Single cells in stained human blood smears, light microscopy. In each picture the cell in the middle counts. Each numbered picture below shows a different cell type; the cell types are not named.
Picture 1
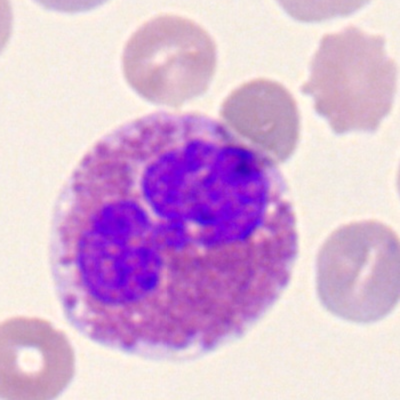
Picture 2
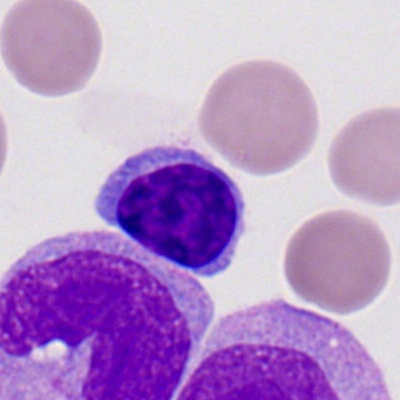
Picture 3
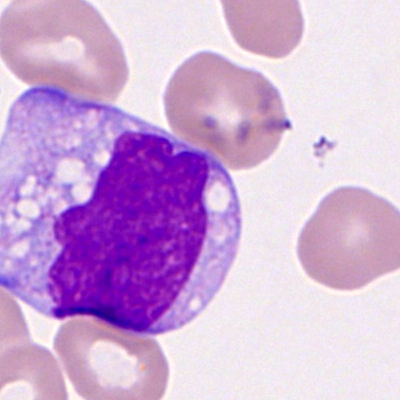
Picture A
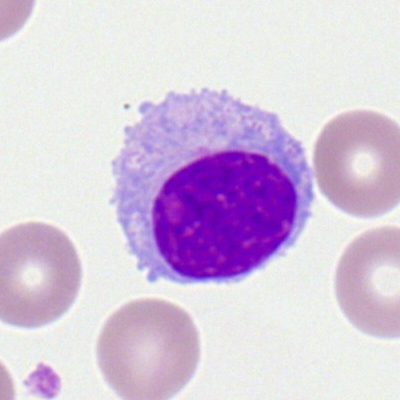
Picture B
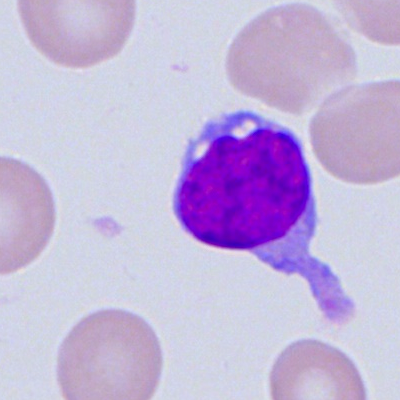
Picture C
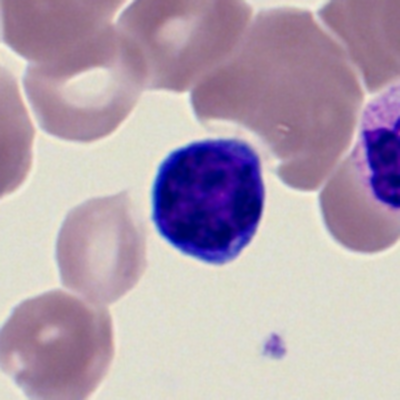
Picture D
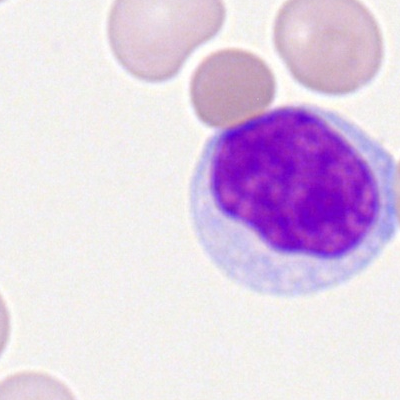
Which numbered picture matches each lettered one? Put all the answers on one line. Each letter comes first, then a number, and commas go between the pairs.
A 2, B 2, C 2, D 2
